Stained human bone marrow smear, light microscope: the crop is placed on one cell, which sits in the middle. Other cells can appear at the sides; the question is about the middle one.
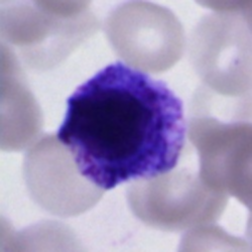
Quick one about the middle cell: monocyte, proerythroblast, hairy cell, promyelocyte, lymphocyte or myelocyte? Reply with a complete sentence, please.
Present in the middle of the crop is a promyelocyte.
